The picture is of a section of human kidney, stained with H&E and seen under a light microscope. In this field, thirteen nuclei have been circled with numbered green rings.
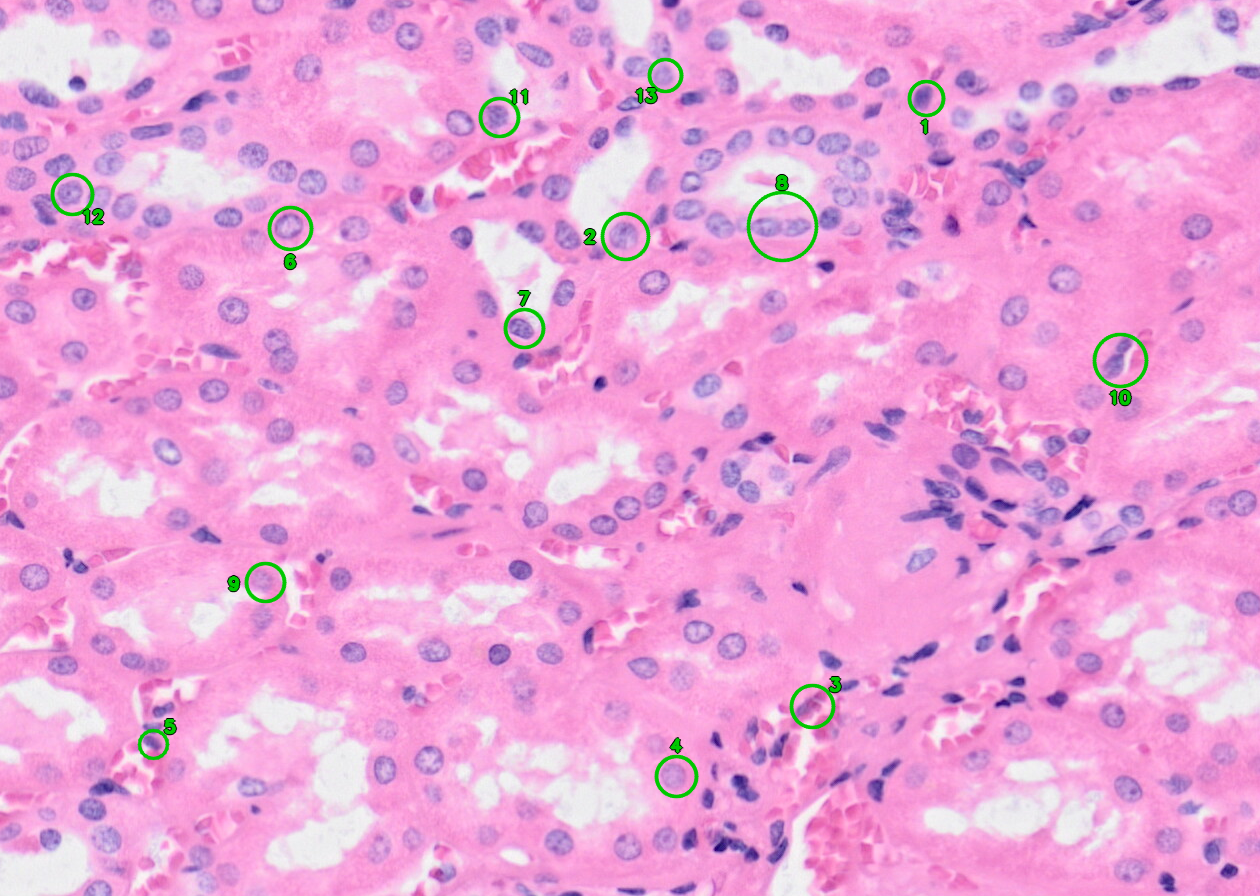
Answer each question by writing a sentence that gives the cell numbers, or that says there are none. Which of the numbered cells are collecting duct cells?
The cells assigned the numbers 8, 11, 12 and 13 are collecting duct cells.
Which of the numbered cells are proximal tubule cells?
The cells numbered 4, 6 and 9 are of one kind: proximal tubule cells.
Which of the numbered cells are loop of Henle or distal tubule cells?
The identity of cells 2 and 7: they are loop of Henle or distal tubule cells.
